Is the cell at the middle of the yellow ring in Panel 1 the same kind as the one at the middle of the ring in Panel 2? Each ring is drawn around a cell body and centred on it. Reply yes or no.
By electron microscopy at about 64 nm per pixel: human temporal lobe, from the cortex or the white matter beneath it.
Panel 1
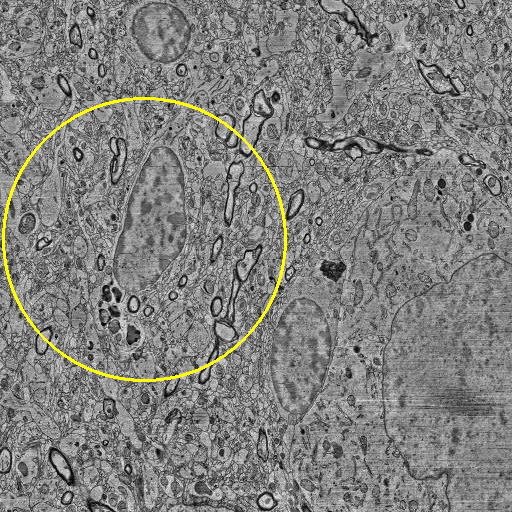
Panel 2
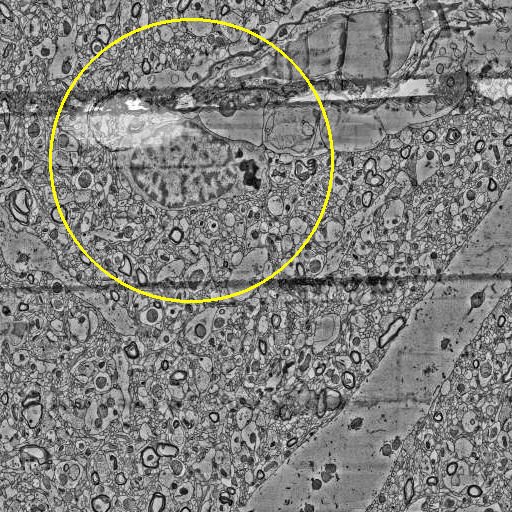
no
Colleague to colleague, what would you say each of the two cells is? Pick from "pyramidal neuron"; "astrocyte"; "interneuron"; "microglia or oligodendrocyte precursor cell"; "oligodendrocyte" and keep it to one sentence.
The cell in the first picture is a microglial cell or oligodendrocyte precursor cell; the second picture's cell is an oligodendrocyte.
